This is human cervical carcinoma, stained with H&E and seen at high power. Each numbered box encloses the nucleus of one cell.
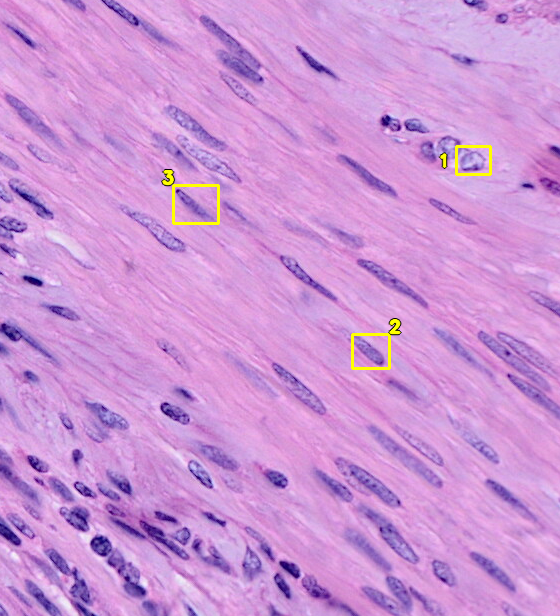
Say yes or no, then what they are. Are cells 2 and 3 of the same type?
No, cell 2 here is a smooth muscle cell and cell 3 here is a fibroblast.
